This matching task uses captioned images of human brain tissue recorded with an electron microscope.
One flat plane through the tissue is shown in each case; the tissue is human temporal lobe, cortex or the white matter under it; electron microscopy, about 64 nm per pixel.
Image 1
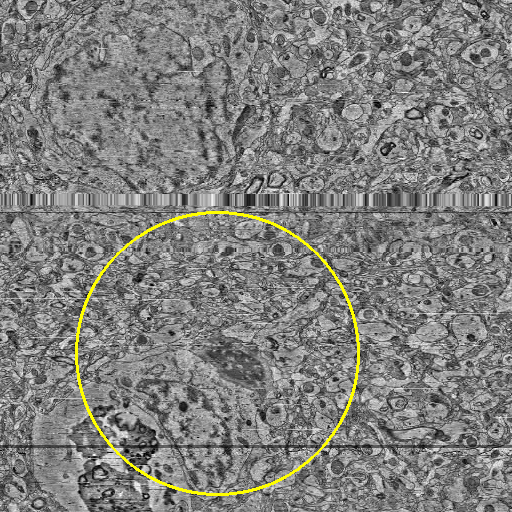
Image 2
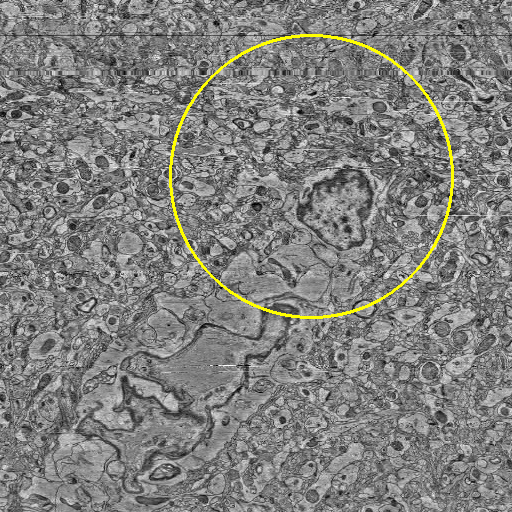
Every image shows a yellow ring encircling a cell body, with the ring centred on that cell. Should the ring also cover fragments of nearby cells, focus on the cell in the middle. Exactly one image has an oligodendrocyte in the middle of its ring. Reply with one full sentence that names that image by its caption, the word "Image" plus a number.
Image 1 shows the cell in question at the centre of its yellow ring.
